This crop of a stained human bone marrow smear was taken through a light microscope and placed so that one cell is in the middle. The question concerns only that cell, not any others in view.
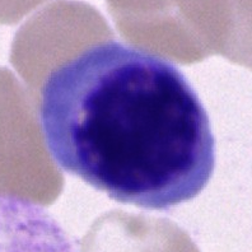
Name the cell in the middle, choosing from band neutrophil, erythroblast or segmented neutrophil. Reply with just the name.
erythroblast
